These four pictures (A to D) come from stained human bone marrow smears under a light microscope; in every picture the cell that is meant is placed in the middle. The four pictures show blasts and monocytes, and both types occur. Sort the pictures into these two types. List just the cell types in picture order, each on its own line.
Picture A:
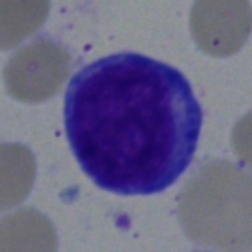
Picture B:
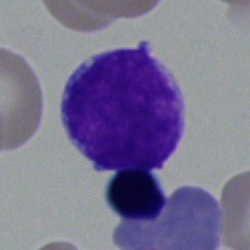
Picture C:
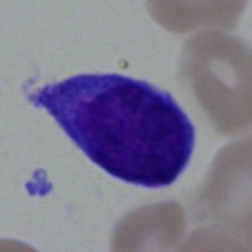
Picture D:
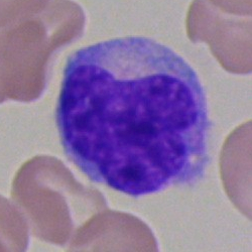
blast
blast
blast
monocyte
